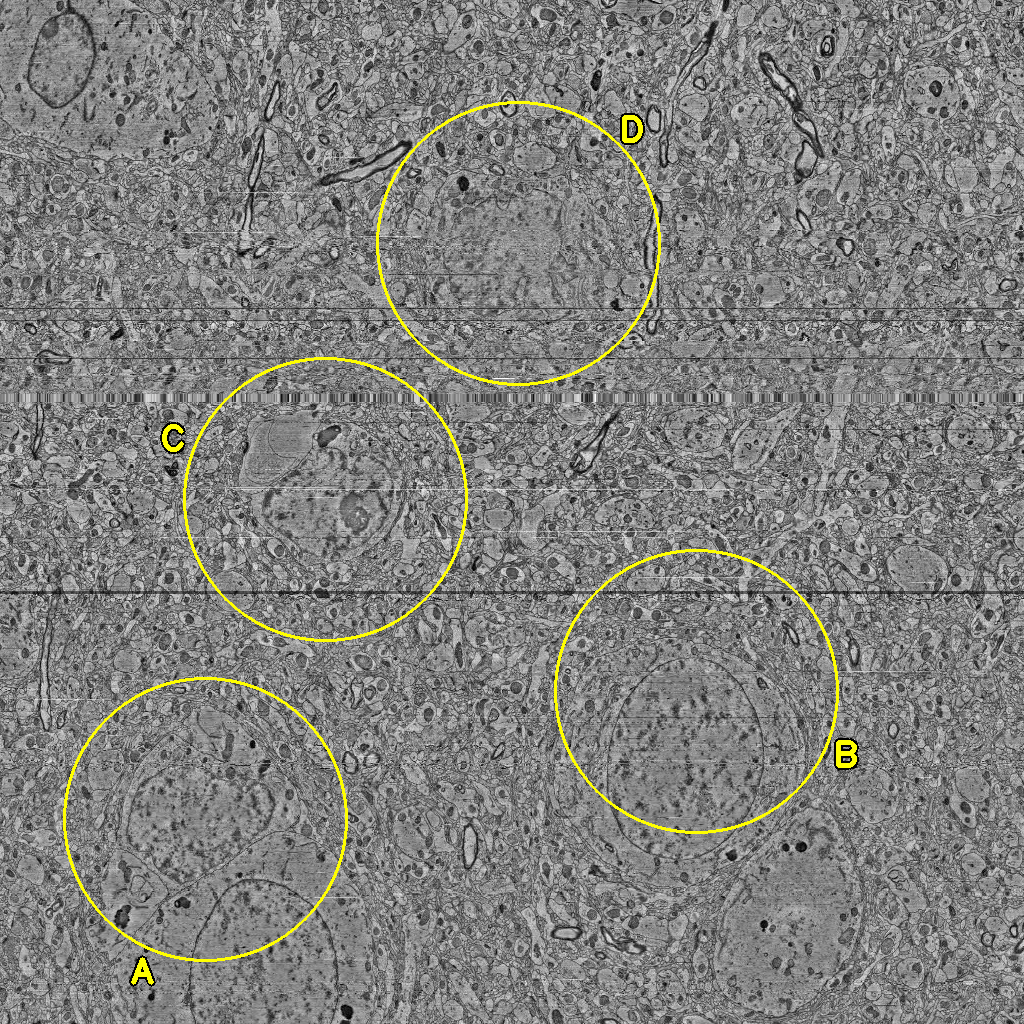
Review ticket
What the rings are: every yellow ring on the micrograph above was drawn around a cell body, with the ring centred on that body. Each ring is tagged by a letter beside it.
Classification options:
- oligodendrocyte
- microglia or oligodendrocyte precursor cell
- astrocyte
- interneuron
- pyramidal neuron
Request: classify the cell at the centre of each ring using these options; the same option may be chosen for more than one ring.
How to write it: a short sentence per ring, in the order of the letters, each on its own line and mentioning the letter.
The cell centred in ring A is an interneuron.
The cell centred in ring B is a pyramidal neuron.
The cell centred in ring C is an interneuron.
The cell centred in ring D is an interneuron.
